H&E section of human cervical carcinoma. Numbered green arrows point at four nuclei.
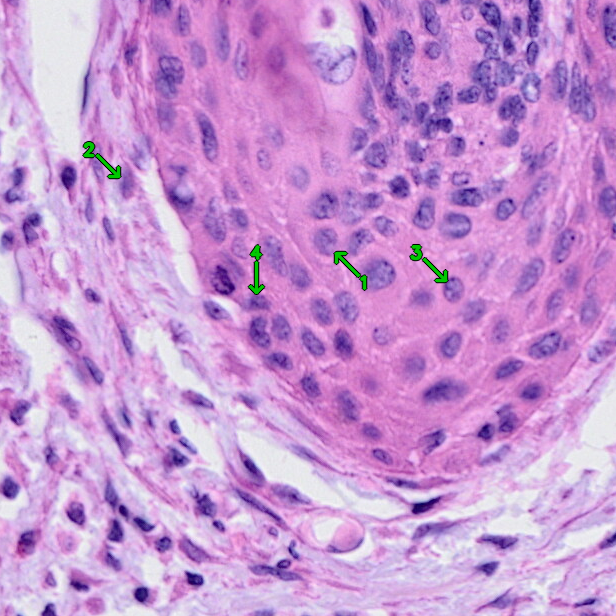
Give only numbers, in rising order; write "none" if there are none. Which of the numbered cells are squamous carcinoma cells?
1, 3, 4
